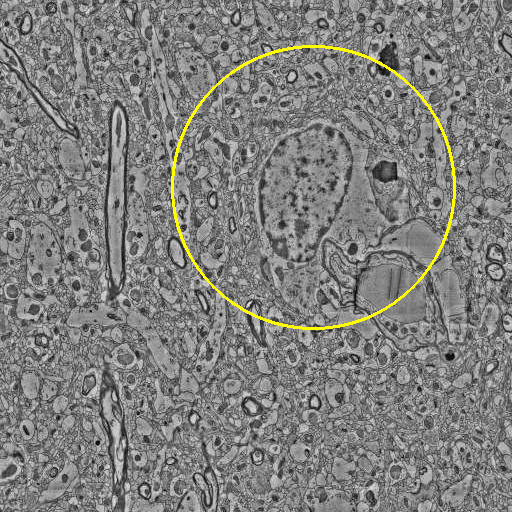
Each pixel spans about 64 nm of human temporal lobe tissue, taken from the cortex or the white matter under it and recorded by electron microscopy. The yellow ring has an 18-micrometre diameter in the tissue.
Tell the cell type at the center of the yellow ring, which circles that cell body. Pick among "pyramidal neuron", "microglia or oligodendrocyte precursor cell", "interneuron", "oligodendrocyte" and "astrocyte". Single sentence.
The ring is centered on the body of a microglial cell or oligodendrocyte precursor cell.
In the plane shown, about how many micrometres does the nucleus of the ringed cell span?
The nucleus measures about 8 by 6 micrometres in this plane.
